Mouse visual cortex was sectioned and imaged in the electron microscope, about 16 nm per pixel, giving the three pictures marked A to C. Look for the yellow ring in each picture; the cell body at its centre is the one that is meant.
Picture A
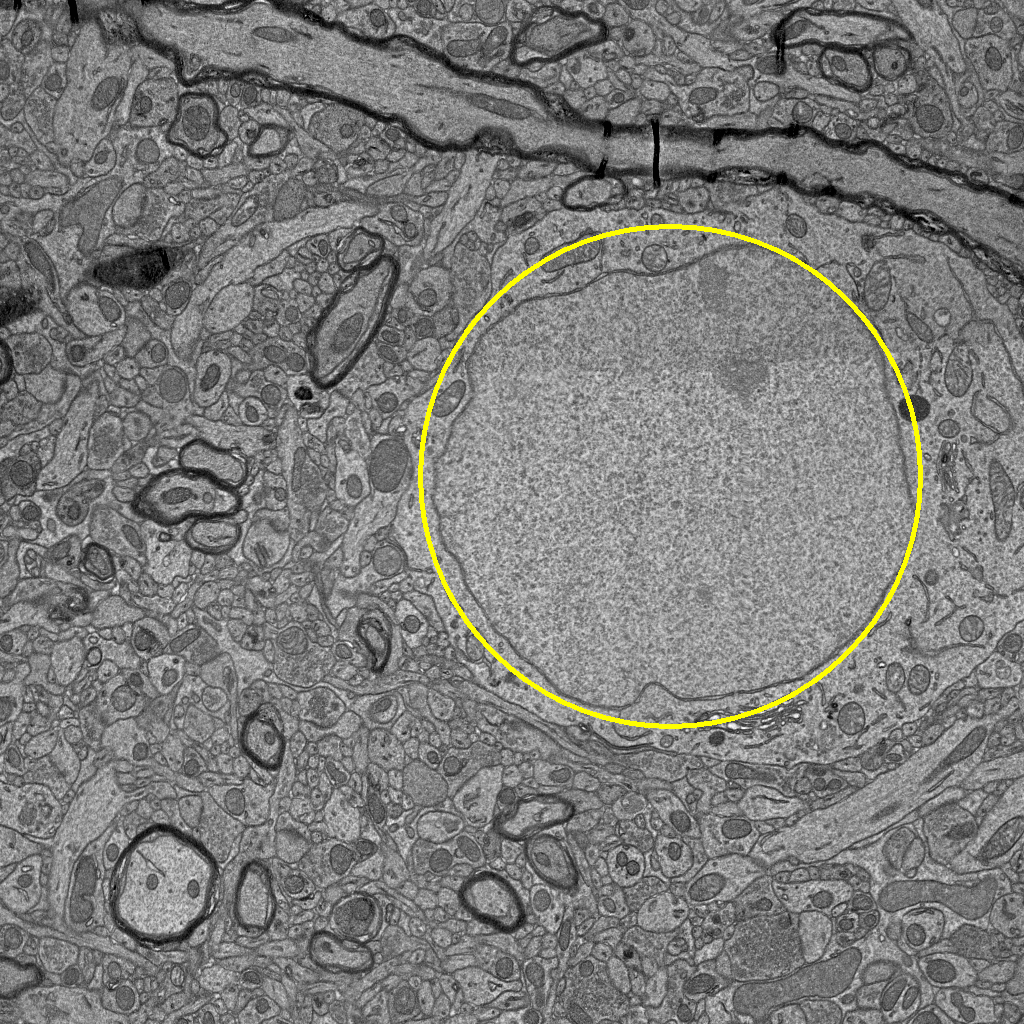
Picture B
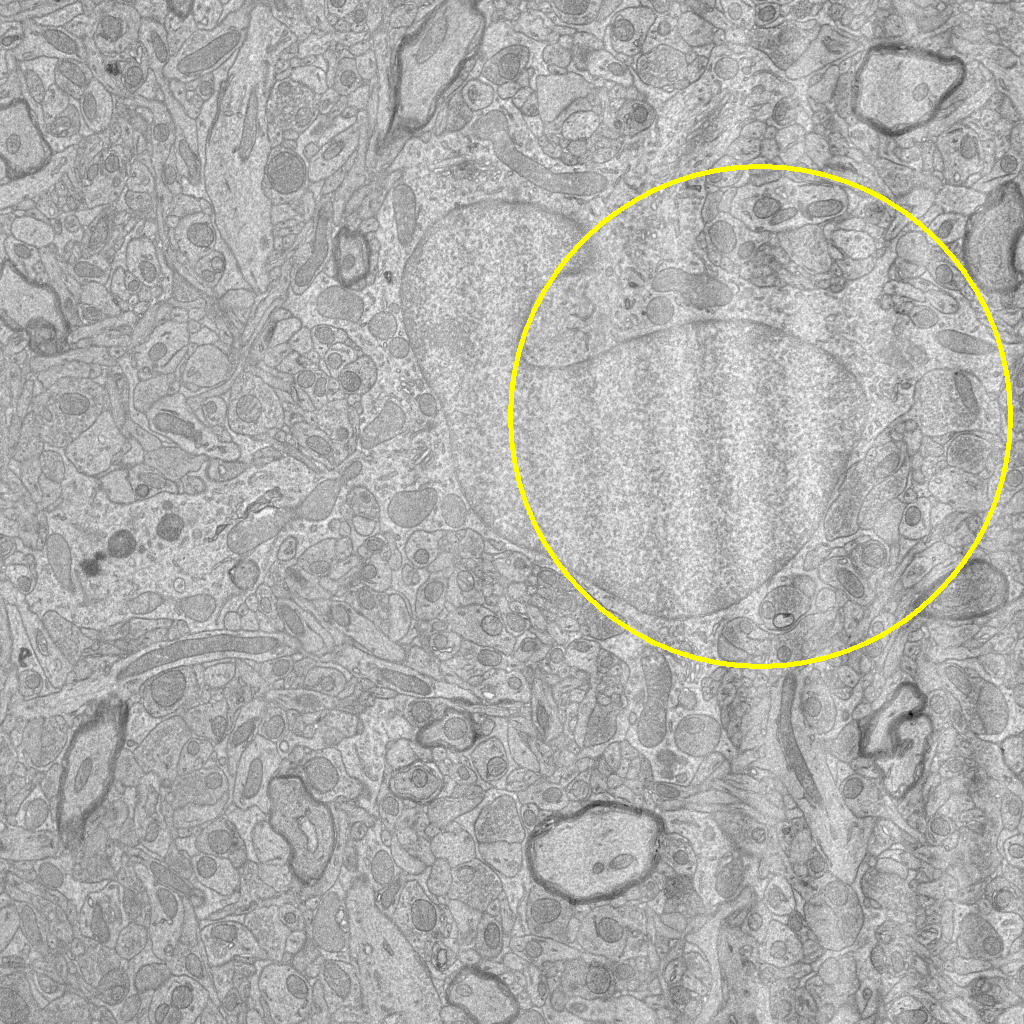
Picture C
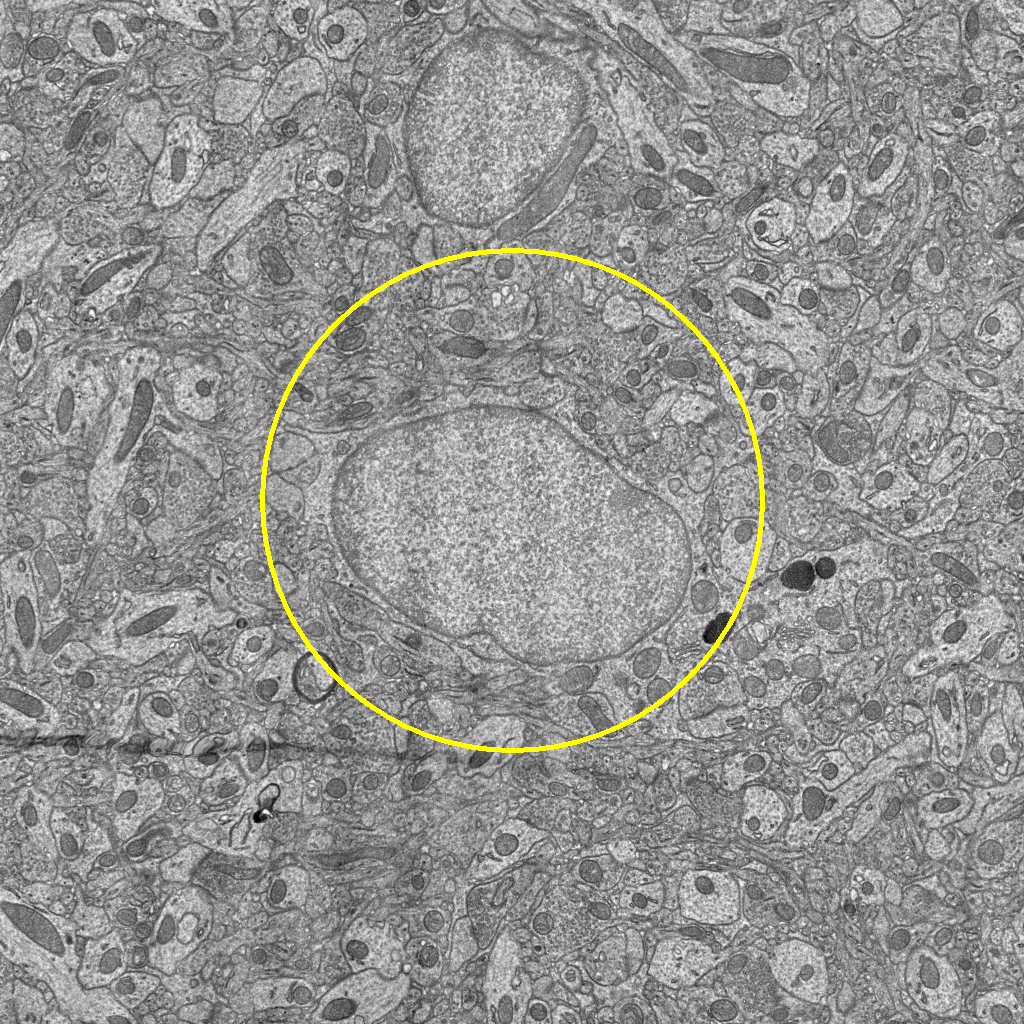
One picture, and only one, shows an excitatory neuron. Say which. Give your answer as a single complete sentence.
The excitatory neuron is the one in picture A.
